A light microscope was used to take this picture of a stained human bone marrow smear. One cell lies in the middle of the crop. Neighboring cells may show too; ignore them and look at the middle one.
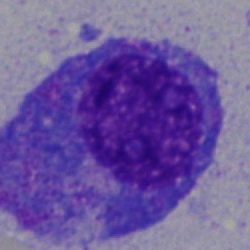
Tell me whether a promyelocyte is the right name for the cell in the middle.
yes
